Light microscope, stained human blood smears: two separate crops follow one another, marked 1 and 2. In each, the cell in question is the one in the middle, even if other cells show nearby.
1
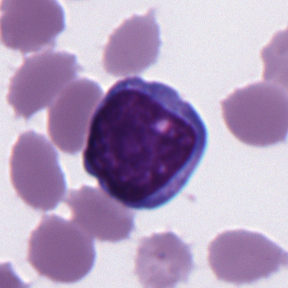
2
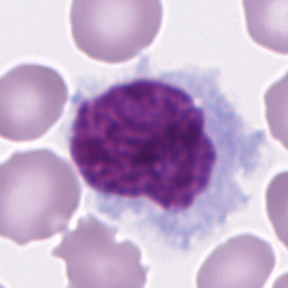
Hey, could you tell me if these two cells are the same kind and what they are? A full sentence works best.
No, crop 1 is where a typical lymphocyte is, and crop 2 is where a hairy cell is.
